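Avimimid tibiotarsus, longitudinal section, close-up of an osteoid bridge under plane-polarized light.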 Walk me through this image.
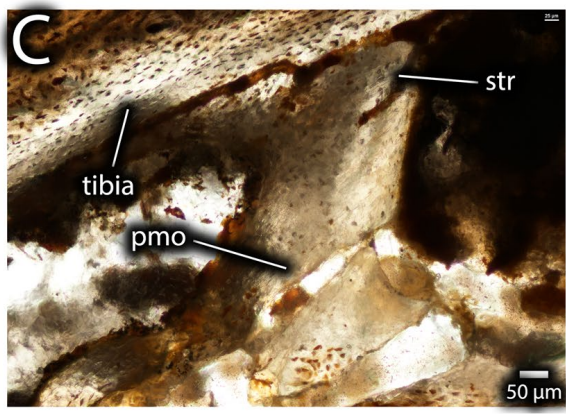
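At upper left lies finely layered bone with many small, dark, elongate lacunae aligned along the layering. Beside it a paler band of matrix runs diagonally; it looks cloudy and poorly clear rather than crisp, with a few small dark lacunae scattered in it and faint linear striations near its upper edge. Around it lie opaque dark brown to black patches and bright white, angular translucent patches of infilling mineral, with reddish-brown staining along some boundaries.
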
